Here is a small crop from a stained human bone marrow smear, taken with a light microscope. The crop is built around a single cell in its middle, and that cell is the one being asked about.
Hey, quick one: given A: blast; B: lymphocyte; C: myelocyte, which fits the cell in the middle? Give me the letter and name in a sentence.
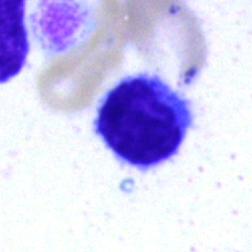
The right choice is option B: the cell in the middle is a lymphocyte.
